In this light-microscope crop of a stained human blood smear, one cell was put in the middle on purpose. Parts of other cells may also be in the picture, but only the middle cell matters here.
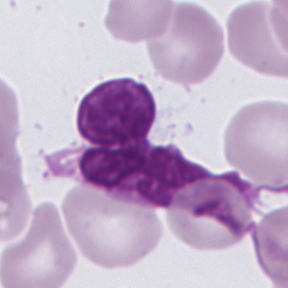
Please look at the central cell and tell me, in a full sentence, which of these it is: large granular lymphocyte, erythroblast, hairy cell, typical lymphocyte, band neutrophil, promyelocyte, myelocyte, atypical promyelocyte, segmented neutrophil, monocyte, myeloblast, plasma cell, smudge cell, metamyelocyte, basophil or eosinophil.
What the crop centres on is a smudge cell.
